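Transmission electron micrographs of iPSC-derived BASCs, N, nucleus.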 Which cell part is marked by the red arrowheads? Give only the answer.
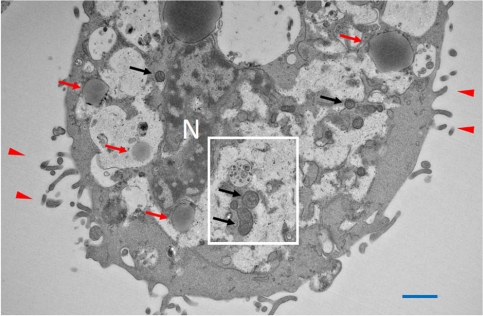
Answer: Microvilli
